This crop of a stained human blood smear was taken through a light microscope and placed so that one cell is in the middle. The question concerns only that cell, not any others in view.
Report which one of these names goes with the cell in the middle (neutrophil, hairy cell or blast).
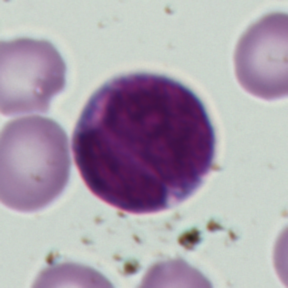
blast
